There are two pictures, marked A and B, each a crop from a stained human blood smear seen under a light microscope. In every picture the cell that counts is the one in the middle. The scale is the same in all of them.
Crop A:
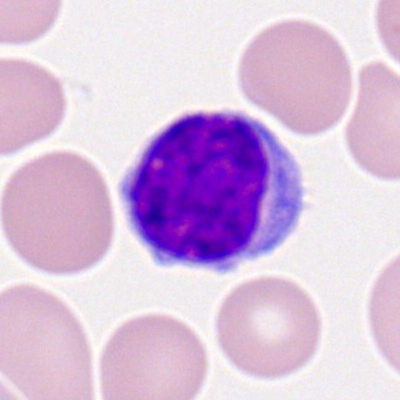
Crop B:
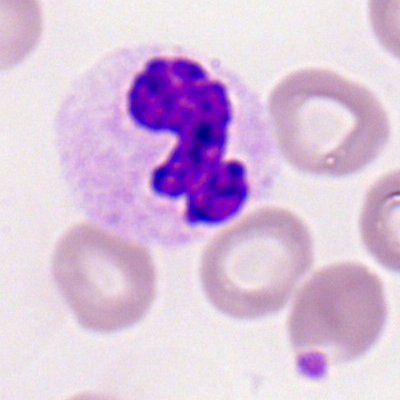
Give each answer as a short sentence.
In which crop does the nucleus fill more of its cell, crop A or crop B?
It is the cell in crop A that is filled more by its nucleus.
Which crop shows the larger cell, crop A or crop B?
Larger is the cell in crop B, at roughly 1.5 times the area of the other.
